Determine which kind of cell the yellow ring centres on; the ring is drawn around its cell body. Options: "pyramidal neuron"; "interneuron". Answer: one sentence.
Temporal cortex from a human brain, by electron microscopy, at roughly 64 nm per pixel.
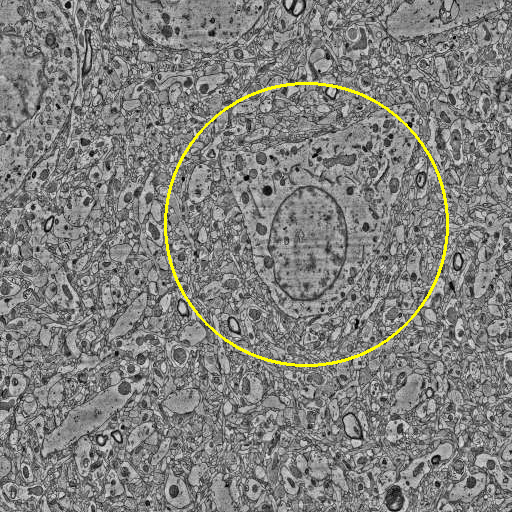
The ring centres on a pyramidal neuron.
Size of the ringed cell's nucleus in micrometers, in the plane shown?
The nucleus measures about 7 by 5 micrometres in this plane.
